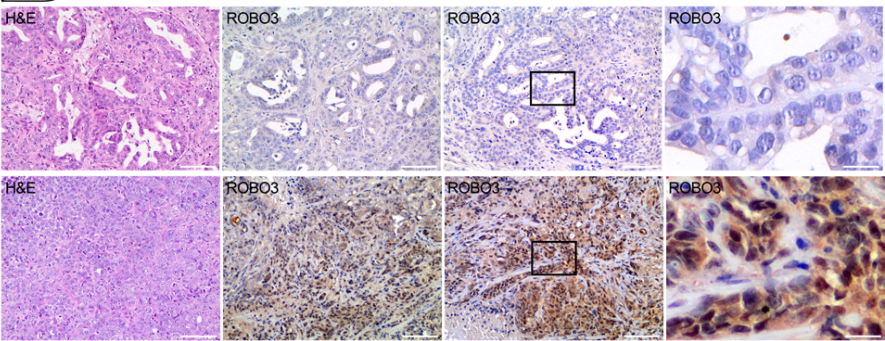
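In the upper tumour the cells line open, irregular gland-like spaces, with cuboidal to columnar cells and oval nuclei; these cells carry little brown stain. In the lower tumour the cells form solid sheets without lumens, and the nuclei are crowded and irregular. There, brown stain fills the cytoplasm of most tumour cells, as the close-up shows.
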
